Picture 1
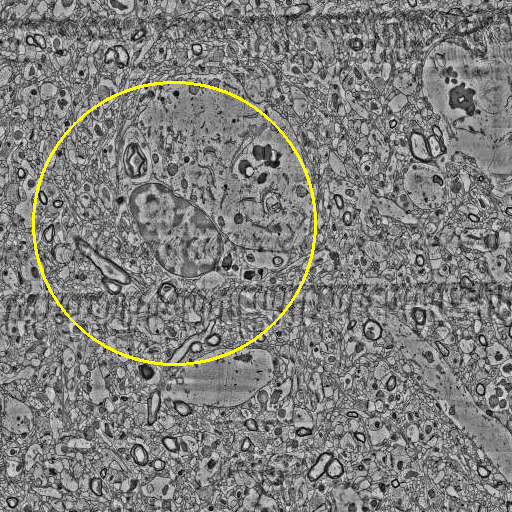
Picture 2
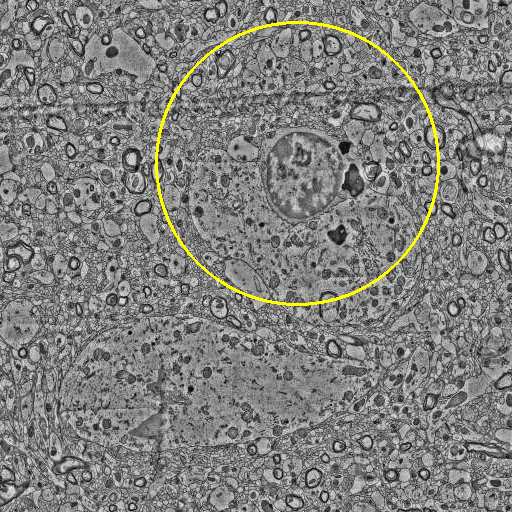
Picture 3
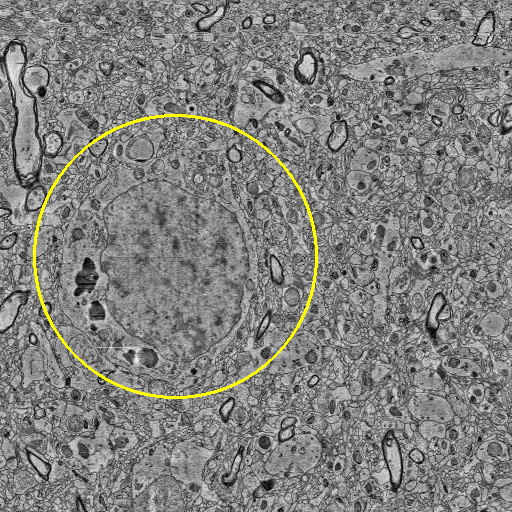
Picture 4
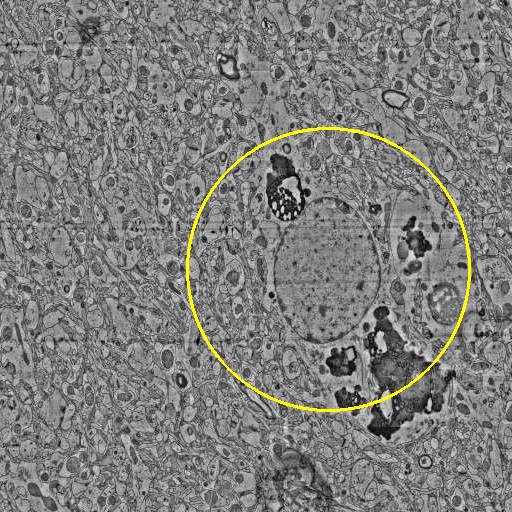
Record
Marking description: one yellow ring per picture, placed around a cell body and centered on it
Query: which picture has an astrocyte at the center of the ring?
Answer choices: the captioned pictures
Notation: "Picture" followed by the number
Picture 4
